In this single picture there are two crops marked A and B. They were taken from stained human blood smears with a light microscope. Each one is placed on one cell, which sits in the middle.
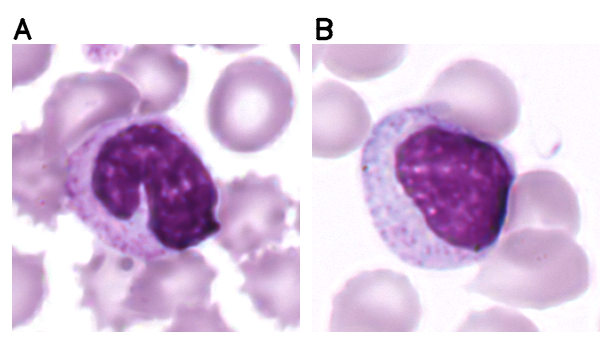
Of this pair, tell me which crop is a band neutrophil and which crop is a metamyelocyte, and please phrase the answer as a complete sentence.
Crop B shows a metamyelocyte, and crop A shows a band neutrophil.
